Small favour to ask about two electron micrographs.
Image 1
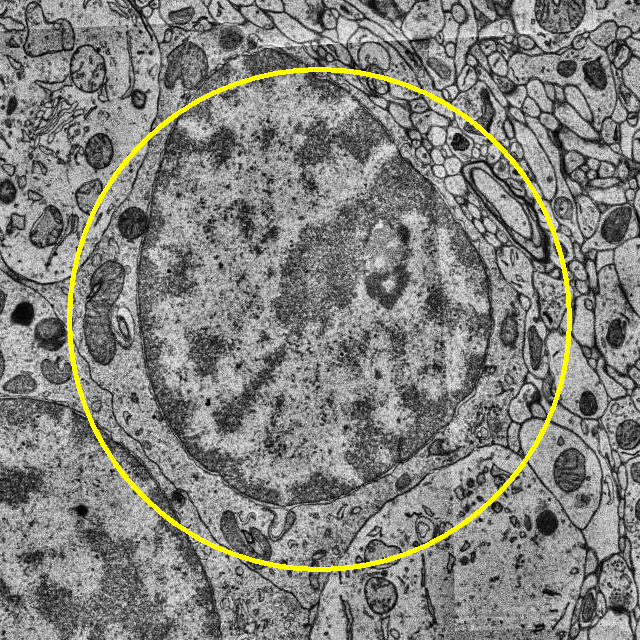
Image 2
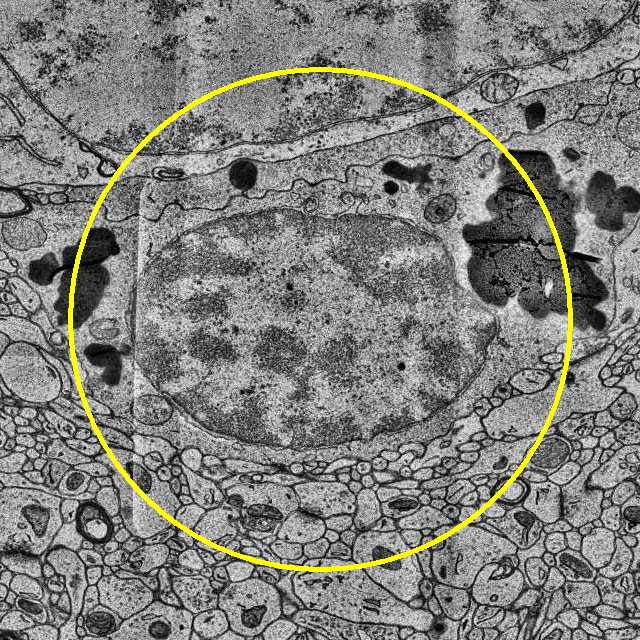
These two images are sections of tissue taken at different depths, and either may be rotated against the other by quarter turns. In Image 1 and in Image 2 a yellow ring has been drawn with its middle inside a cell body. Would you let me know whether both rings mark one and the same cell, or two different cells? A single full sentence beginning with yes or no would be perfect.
No, the two yellow rings correspond to two separate cells.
